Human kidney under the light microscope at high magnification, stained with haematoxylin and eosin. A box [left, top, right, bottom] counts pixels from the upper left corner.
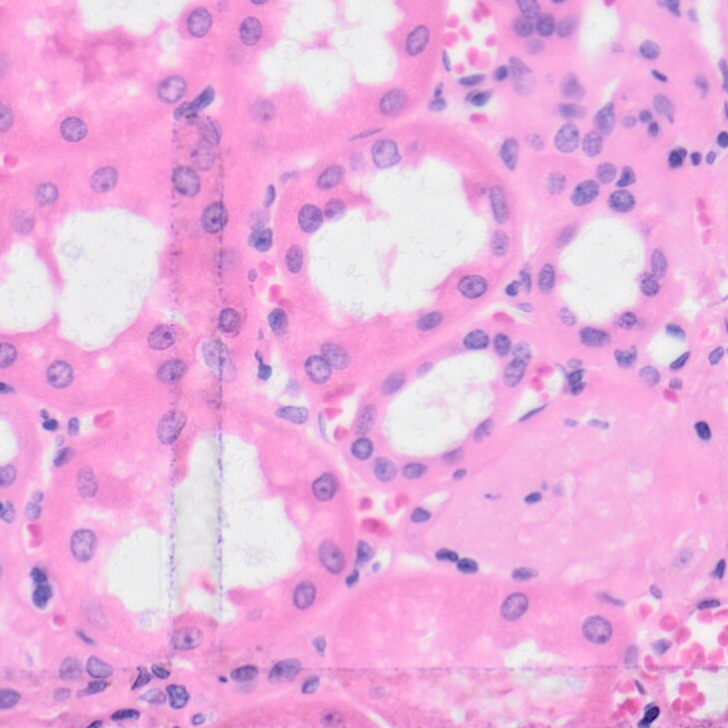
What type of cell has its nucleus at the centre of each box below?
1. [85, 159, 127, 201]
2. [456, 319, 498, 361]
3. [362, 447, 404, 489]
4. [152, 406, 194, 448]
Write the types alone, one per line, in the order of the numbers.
proximal tubule cell
collecting duct cell
collecting duct cell
proximal tubule cell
